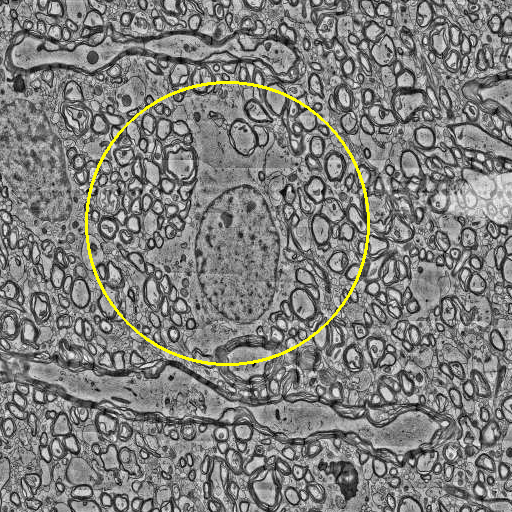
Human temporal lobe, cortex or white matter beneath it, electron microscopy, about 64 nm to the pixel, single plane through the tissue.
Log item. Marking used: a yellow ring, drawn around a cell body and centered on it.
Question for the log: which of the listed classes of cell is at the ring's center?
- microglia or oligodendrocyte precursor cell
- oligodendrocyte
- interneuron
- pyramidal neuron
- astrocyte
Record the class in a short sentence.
At the center of the ring lies an astrocyte.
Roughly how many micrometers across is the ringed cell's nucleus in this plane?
The nucleus measures about 9 by 5 micrometres, so it is clearly longer than it is wide in this plane.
